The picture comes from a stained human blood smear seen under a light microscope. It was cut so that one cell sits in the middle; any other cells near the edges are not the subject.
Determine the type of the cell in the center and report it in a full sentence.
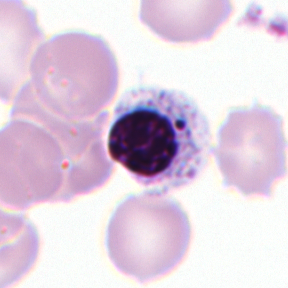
As for the cell in the middle, it is an erythroblast.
